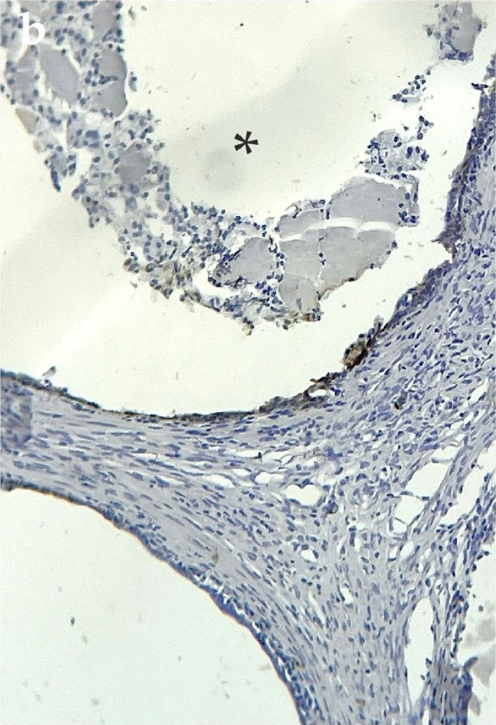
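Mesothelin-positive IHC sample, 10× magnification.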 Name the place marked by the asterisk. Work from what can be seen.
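Interior of cysts. The asterisk lies in a large space bounded by a stromal wall. The space holds clusters of loose cells not attached to the wall. Pale amorphous material lies within the space.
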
